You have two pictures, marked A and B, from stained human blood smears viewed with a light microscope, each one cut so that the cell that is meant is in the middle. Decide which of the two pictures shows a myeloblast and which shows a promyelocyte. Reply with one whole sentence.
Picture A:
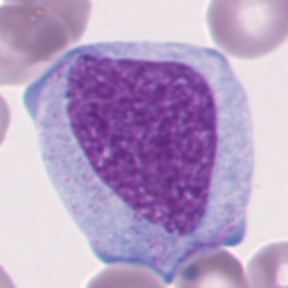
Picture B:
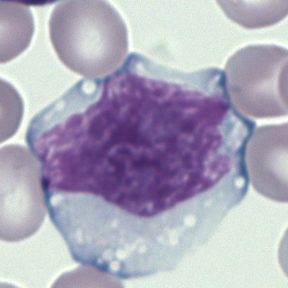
Picture A is of a promyelocyte, and picture B is of a myeloblast.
